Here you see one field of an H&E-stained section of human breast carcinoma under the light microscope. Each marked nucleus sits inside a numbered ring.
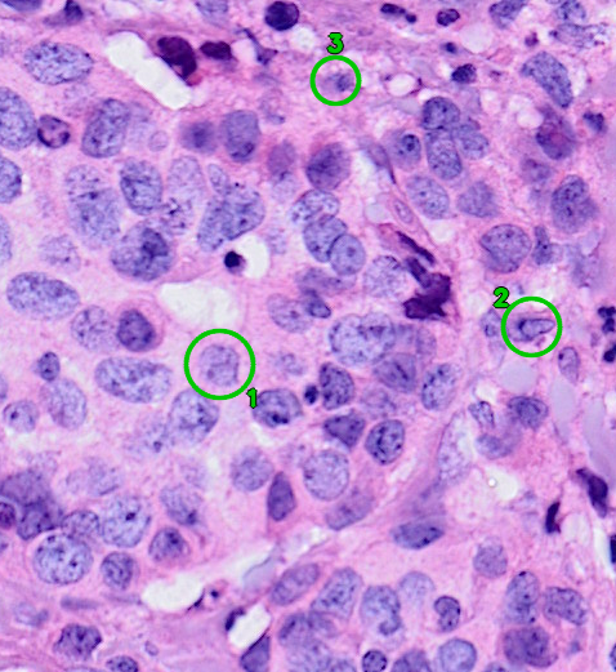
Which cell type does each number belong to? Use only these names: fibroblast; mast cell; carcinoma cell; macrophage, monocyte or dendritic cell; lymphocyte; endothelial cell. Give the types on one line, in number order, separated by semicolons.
carcinoma cell; macrophage, monocyte or dendritic cell; macrophage, monocyte or dendritic cell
